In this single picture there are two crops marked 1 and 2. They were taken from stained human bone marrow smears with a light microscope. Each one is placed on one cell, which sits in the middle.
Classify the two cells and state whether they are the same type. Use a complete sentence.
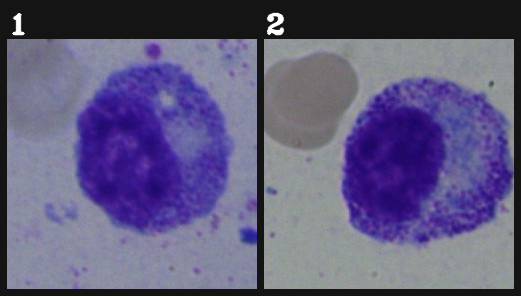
Yes, the central cells, in both crops, are myelocytes.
